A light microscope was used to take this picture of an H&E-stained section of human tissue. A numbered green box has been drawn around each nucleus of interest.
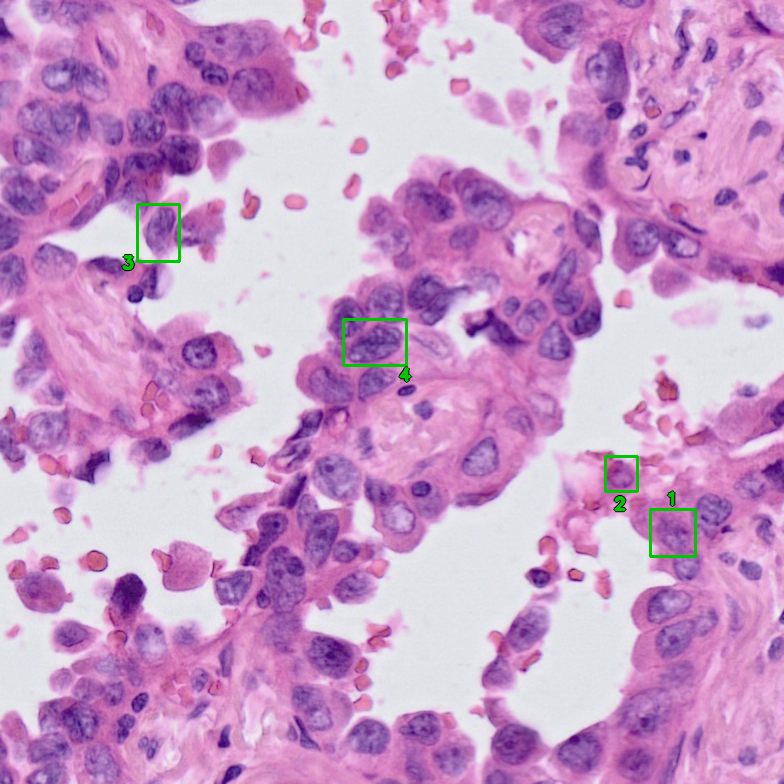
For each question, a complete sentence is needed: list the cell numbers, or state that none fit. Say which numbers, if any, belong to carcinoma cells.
Each of the cells numbered 1, 3 and 4 is among the carcinoma cells.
